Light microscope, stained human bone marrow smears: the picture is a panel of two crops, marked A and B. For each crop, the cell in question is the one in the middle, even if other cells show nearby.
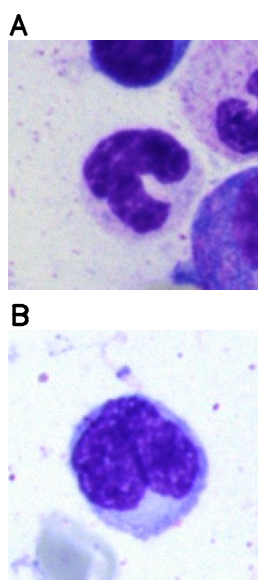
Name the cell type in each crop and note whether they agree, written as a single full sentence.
No, a monocyte is the cell of crop B, while a band neutrophil is the cell of crop A.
